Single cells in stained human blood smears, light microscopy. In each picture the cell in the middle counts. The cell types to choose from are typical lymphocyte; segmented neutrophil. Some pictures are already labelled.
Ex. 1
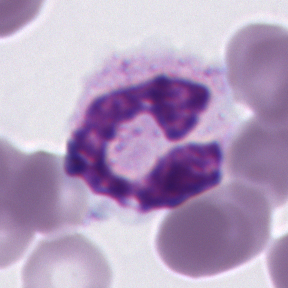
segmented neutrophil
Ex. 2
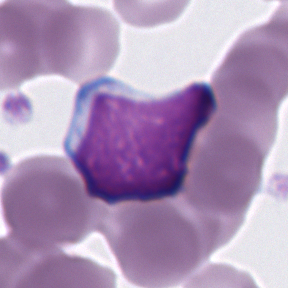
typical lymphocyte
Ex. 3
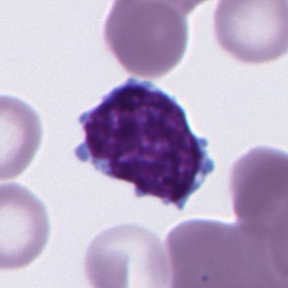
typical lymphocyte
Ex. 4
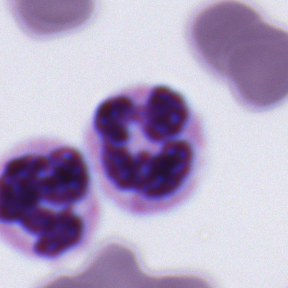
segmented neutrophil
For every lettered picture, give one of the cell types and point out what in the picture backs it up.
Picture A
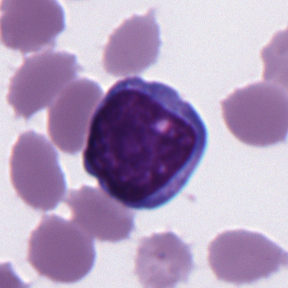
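typical lymphocyte. The nucleus is single and unlobed and fills most of the cell.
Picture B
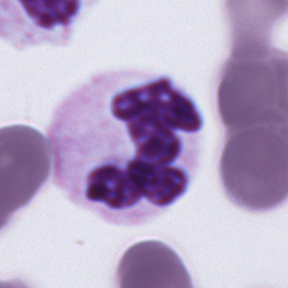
segmented neutrophil. The cytoplasm is plentiful and pale pink.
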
